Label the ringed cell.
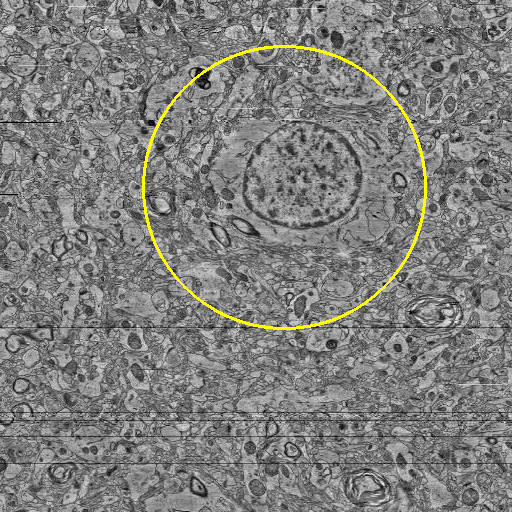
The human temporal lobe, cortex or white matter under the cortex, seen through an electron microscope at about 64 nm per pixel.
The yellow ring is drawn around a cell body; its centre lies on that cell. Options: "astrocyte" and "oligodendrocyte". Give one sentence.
The ringed cell is an astrocyte.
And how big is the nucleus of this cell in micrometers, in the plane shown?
In this plane, the nucleus of the cell at the centre of the ring is about 7 micrometres across.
